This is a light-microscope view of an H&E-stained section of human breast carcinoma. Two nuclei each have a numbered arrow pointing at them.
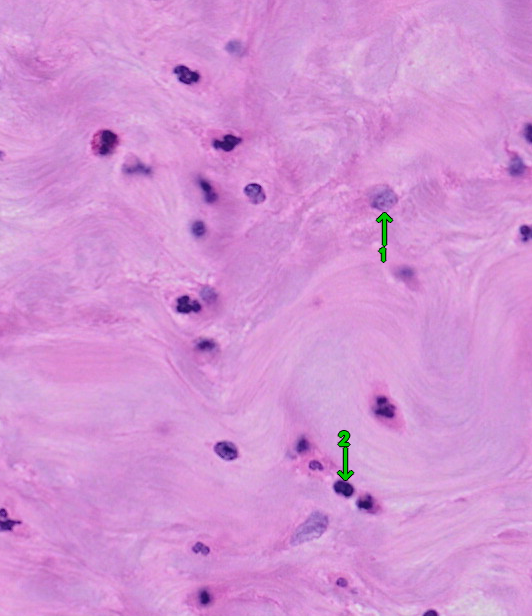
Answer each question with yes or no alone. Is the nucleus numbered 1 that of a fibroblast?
yes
